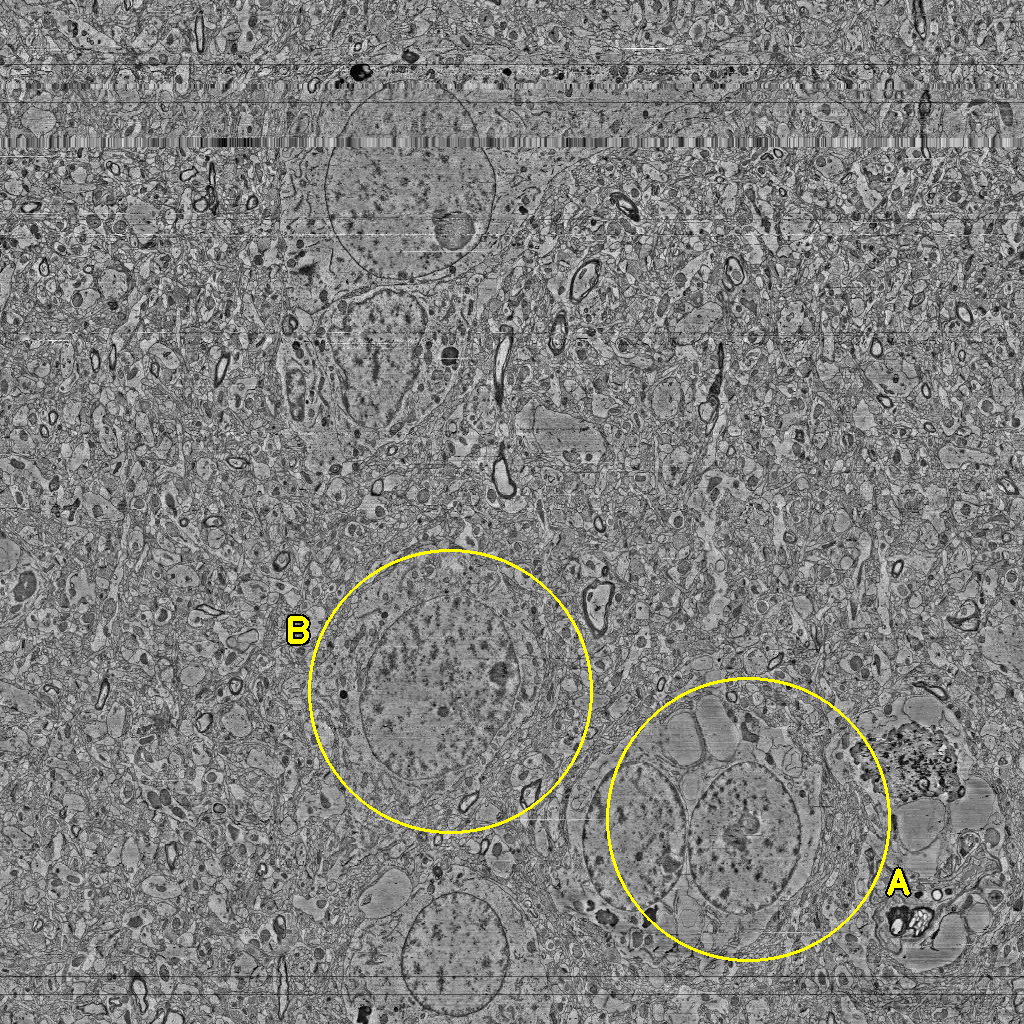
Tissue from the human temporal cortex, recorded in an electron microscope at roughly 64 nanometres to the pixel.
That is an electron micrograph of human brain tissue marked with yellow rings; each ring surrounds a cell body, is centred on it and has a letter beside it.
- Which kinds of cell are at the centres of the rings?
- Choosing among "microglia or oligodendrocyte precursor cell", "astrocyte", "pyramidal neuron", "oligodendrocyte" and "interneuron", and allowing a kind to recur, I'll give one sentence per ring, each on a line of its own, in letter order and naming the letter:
Ring A sits around an astrocyte.
Ring B sits around an interneuron.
